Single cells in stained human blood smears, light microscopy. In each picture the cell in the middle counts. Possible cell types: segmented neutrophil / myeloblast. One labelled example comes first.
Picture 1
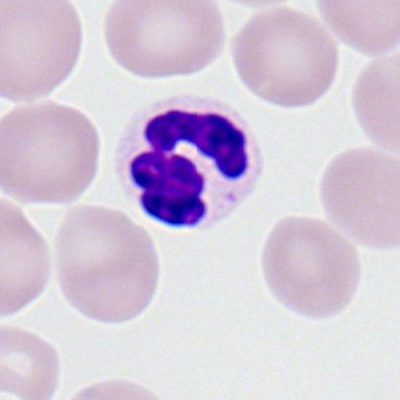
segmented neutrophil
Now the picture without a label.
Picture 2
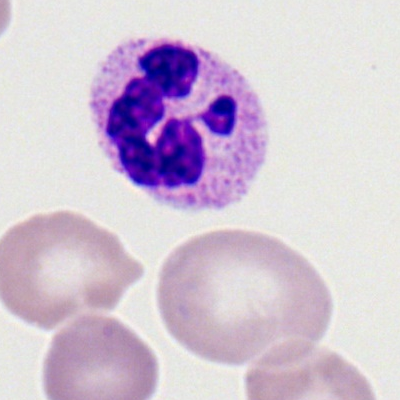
segmented neutrophil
